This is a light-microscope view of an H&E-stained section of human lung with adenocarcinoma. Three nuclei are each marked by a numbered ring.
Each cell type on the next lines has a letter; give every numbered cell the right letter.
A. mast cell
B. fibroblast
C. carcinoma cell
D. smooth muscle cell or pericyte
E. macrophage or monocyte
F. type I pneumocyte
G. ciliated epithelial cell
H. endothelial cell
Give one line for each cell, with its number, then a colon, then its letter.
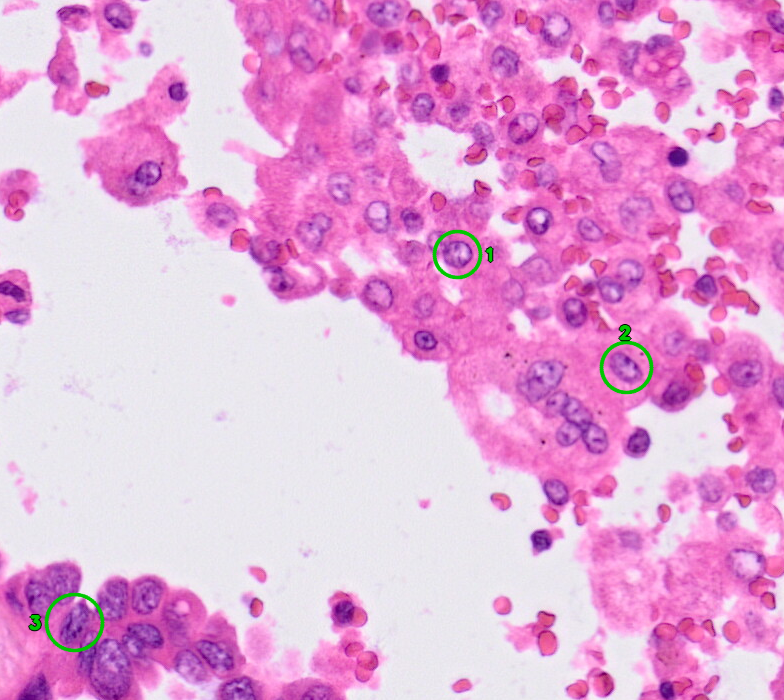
1: E
2: E
3: C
